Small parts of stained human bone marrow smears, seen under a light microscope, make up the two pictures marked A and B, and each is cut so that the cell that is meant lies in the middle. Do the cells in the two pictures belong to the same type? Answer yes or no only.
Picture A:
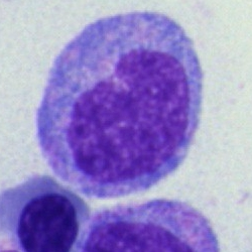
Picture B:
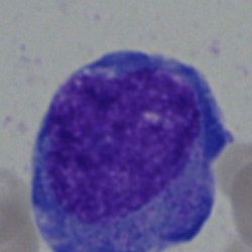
no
